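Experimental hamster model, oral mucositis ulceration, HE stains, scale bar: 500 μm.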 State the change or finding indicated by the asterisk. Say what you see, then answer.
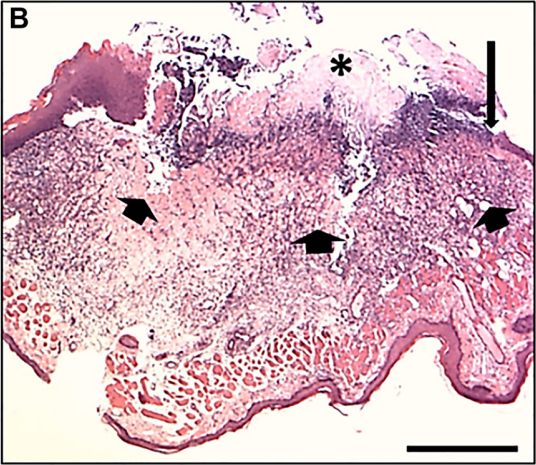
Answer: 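The asterisk lies on a pale, structureless pink area at the surface. The area has no intact epithelium over it.
Conclusion: zone of necrosis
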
